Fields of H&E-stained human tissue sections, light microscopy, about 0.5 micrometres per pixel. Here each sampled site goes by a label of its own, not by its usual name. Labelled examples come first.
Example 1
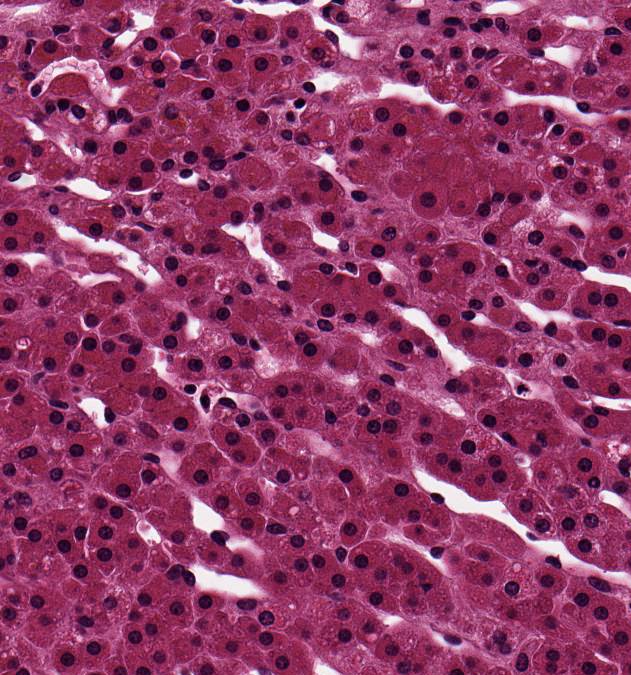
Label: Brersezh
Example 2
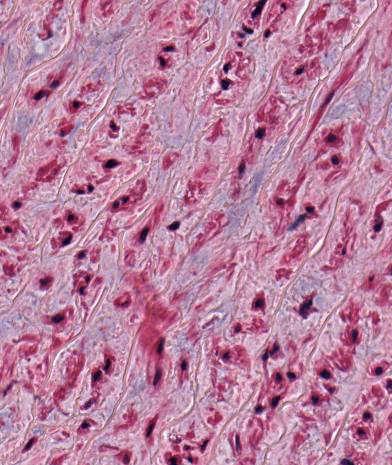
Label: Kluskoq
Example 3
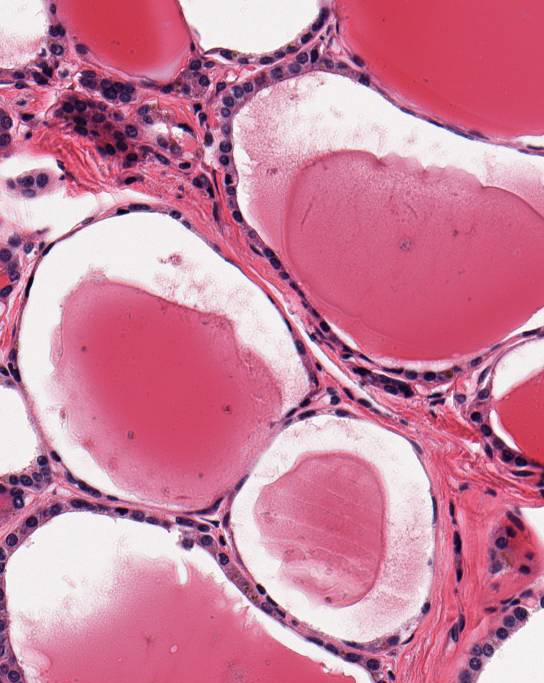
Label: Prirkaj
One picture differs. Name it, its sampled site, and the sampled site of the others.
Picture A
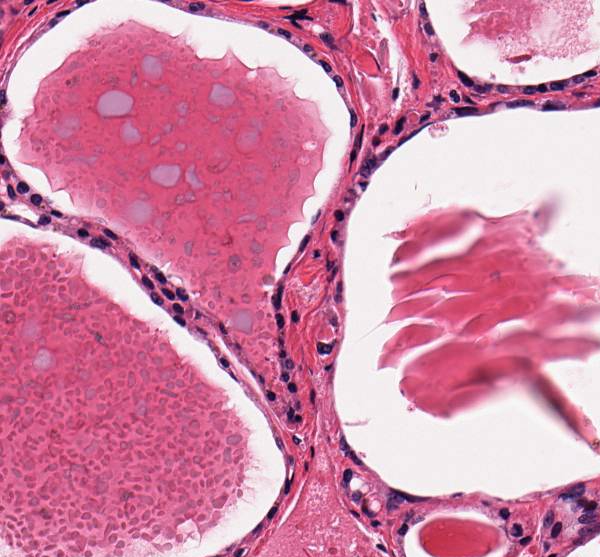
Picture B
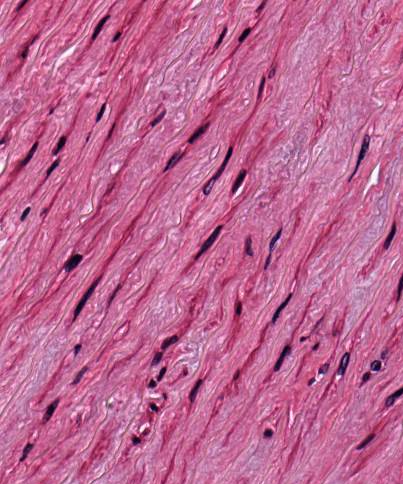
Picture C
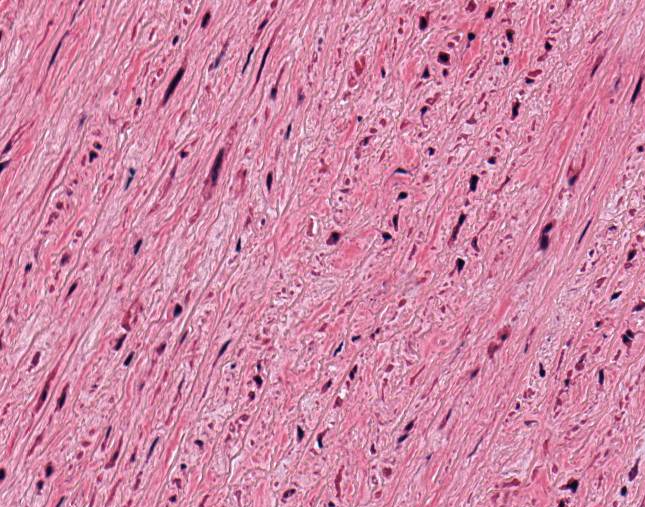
A differs and shows Prirkaj; the others show Kluskoq.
